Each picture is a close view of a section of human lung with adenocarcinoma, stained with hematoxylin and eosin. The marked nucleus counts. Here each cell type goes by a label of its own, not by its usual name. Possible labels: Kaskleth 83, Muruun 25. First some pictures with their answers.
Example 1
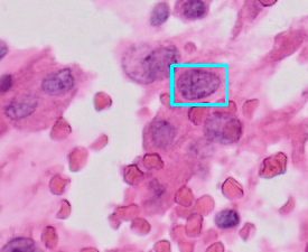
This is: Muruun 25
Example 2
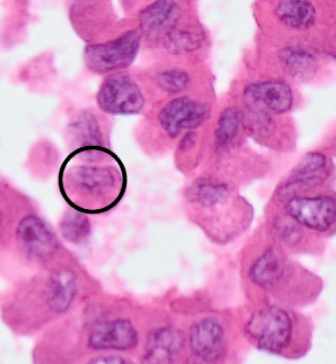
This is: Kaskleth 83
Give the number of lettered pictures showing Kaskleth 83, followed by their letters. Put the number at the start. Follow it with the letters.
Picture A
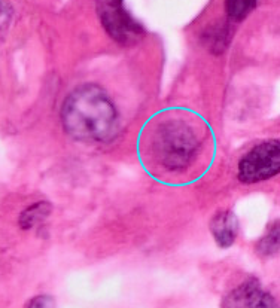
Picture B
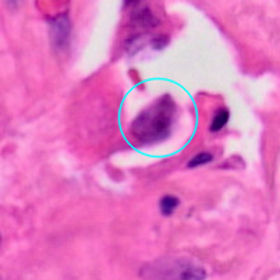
Count: 2 (A, B)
